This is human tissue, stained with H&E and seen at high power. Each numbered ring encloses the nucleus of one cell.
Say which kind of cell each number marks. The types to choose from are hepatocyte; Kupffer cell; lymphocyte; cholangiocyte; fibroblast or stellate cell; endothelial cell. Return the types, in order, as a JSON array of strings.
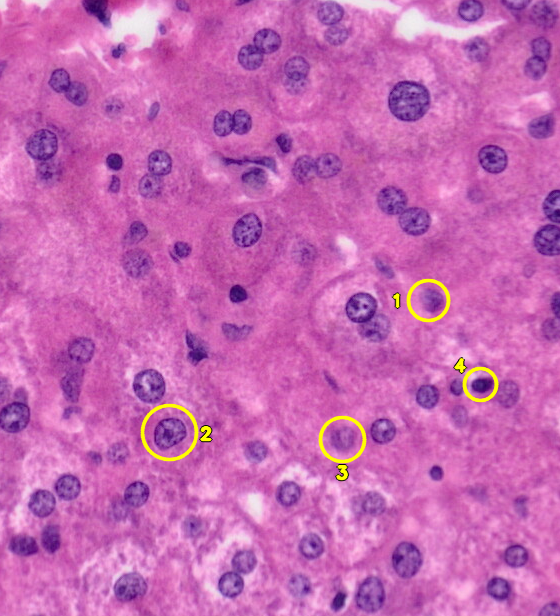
["endothelial cell", "hepatocyte", "hepatocyte", "lymphocyte"]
